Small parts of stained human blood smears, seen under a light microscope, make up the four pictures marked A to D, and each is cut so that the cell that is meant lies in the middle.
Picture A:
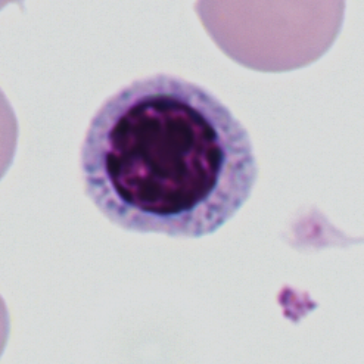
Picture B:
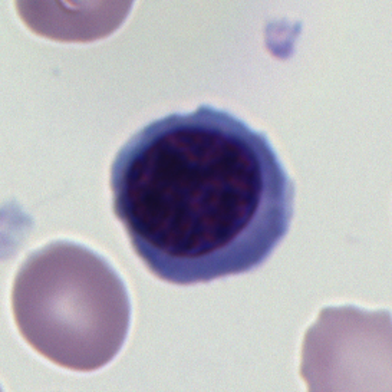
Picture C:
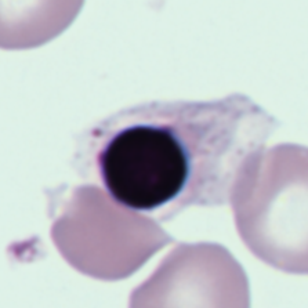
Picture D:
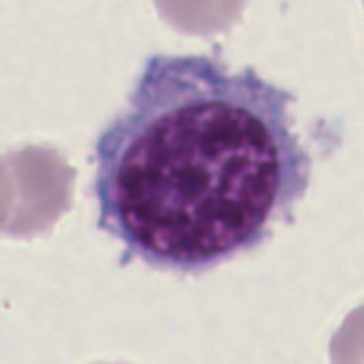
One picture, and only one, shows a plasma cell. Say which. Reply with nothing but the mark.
D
